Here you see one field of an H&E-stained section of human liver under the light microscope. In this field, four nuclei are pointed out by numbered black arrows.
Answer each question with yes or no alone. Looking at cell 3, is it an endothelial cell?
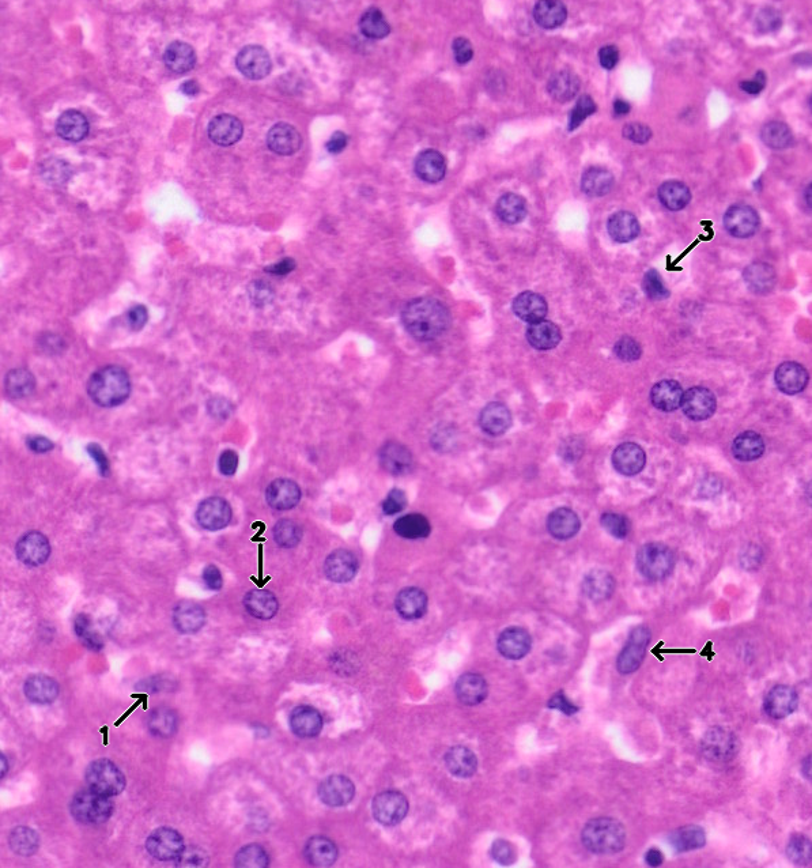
yes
